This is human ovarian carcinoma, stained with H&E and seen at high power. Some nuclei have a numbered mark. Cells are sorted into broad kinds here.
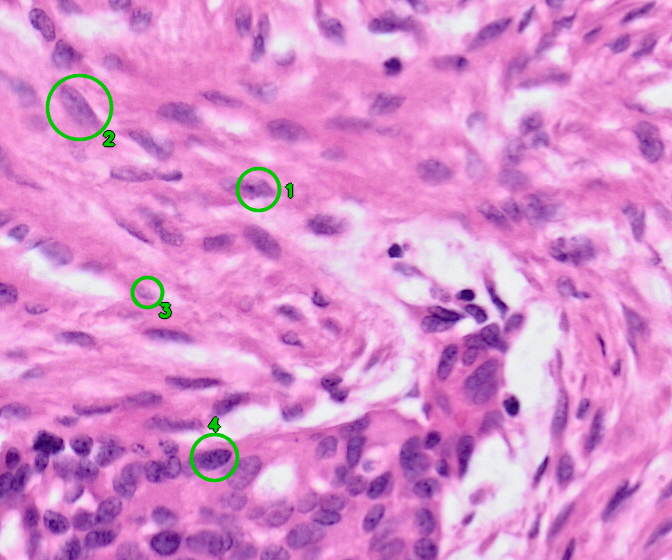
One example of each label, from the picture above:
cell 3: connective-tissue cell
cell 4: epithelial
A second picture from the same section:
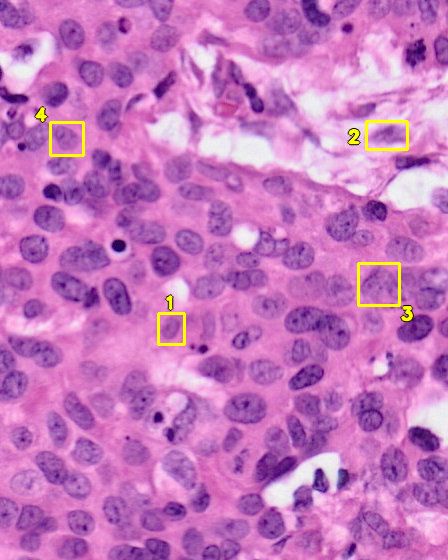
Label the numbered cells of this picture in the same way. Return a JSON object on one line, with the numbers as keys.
{"1": "epithelial", "2": "connective-tissue cell", "3": "epithelial", "4": "epithelial"}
